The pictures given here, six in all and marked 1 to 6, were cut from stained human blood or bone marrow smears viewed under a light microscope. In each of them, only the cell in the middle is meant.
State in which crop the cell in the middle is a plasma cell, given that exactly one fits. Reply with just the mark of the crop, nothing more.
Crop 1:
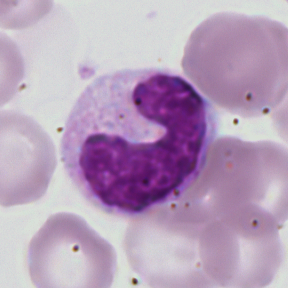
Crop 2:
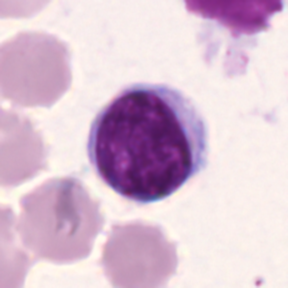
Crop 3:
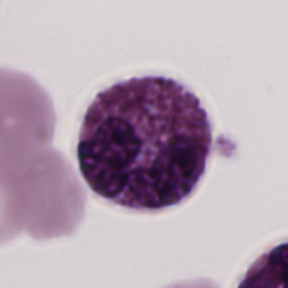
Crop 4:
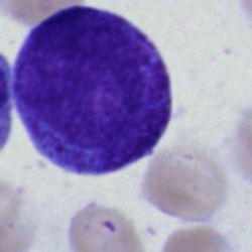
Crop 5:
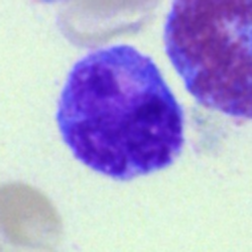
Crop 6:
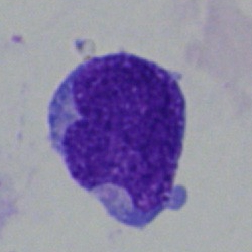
2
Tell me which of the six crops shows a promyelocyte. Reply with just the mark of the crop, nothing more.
4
